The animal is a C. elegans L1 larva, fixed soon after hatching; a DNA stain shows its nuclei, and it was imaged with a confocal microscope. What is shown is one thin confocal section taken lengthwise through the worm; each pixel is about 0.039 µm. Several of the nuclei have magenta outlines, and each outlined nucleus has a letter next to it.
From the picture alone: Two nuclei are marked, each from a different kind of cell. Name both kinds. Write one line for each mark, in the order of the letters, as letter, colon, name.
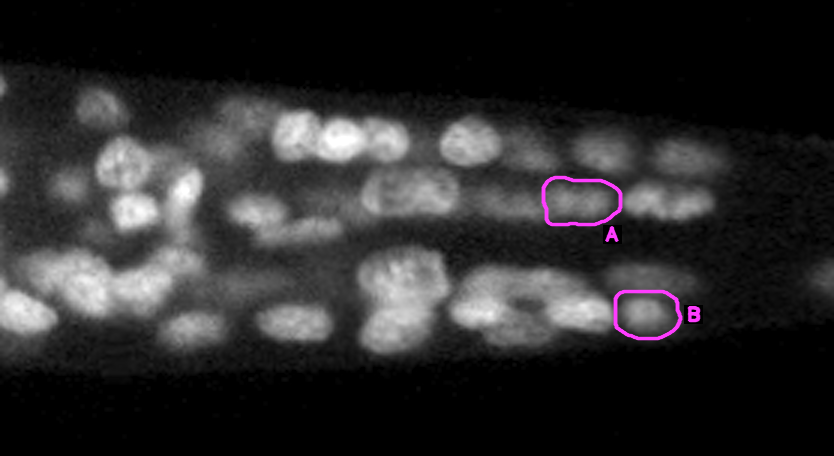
A: pharyngeal muscle cell
B: hypodermal cell (hyp)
